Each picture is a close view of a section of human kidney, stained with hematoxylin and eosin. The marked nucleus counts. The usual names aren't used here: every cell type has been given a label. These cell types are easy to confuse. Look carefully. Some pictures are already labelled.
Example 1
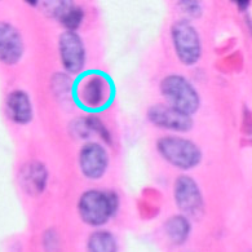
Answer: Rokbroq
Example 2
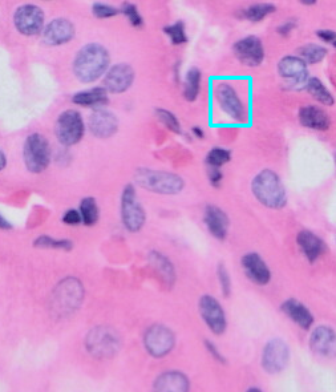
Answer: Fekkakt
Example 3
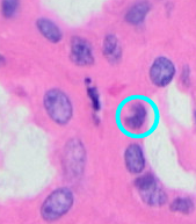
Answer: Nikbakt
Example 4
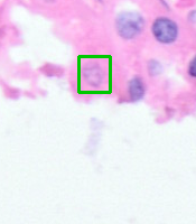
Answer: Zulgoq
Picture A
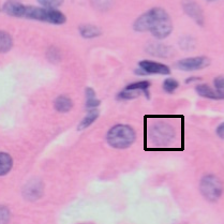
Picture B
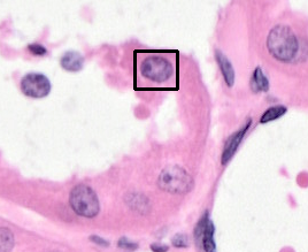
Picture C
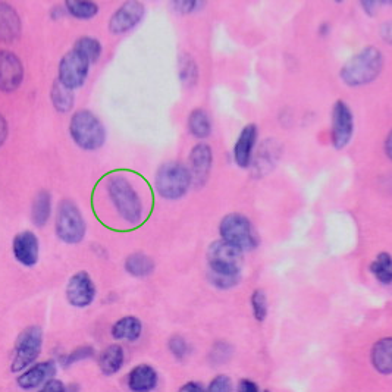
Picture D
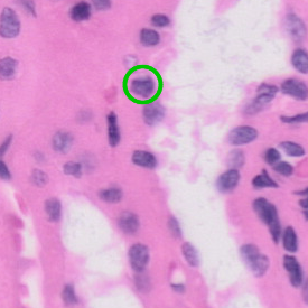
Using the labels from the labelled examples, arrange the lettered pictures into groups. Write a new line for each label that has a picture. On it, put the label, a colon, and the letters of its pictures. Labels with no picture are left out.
Rokbroq: C
Nikbakt: D
Zulgoq: A, B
